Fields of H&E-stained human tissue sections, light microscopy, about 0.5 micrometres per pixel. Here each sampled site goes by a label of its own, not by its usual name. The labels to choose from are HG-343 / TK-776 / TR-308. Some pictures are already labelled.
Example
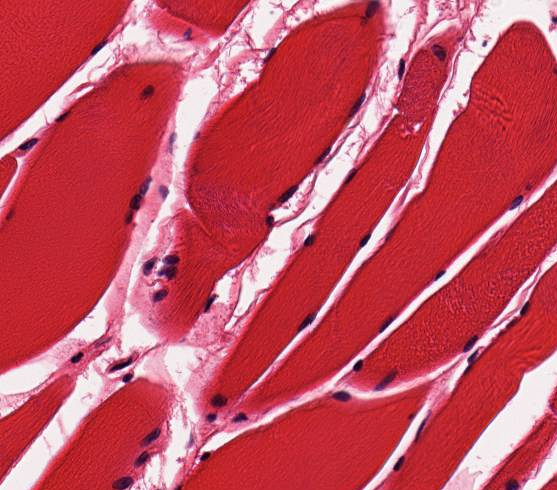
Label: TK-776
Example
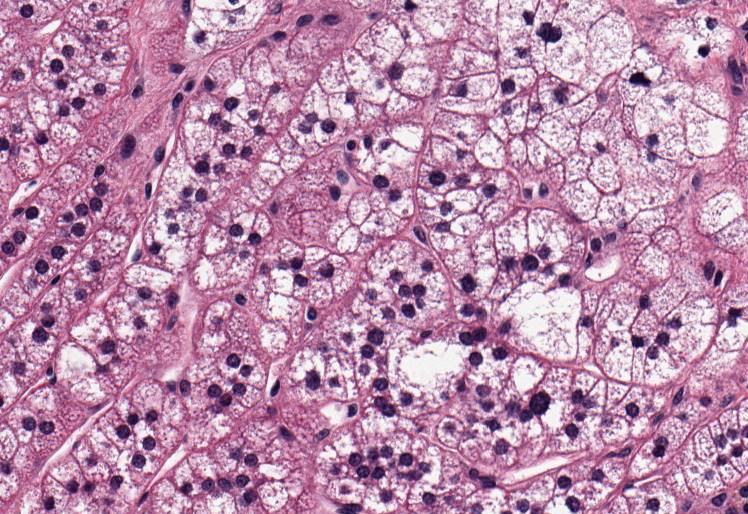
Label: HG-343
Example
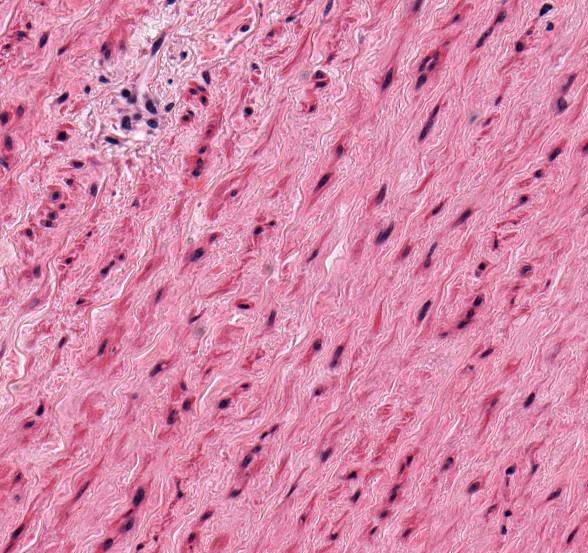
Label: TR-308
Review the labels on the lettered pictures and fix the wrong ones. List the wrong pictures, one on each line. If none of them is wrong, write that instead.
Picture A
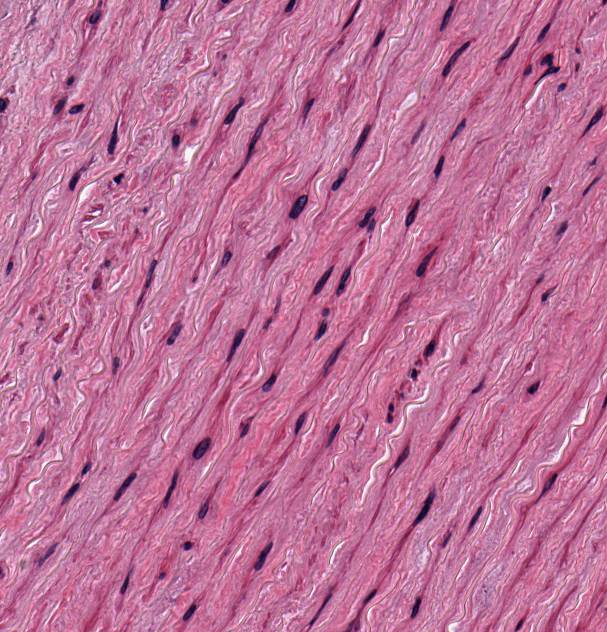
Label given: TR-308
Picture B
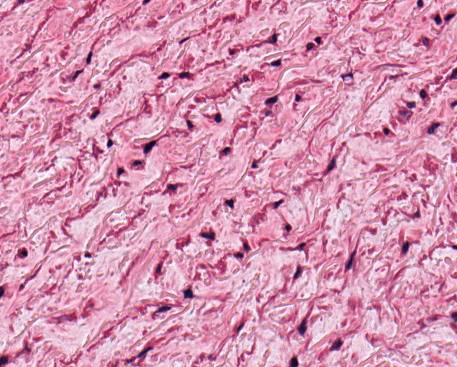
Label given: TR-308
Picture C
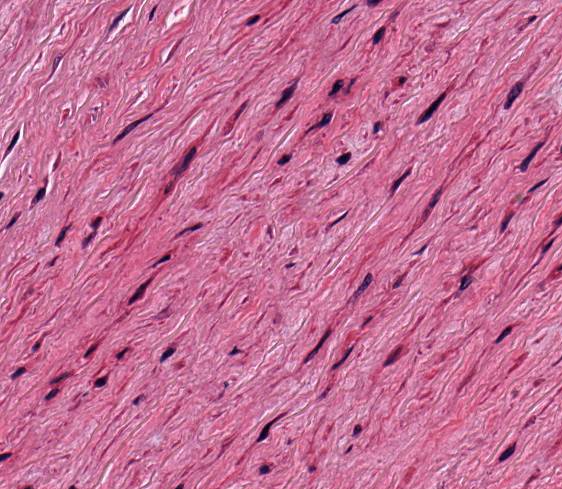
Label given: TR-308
None of the labels needs changing.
